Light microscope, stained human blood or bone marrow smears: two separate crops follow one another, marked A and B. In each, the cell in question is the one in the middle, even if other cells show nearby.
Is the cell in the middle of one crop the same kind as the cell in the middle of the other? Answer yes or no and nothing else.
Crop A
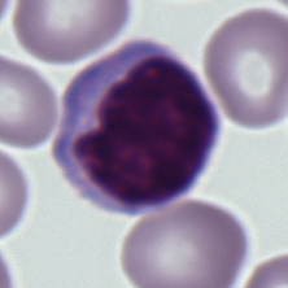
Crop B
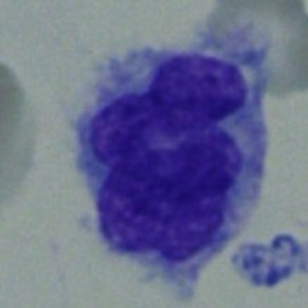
no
